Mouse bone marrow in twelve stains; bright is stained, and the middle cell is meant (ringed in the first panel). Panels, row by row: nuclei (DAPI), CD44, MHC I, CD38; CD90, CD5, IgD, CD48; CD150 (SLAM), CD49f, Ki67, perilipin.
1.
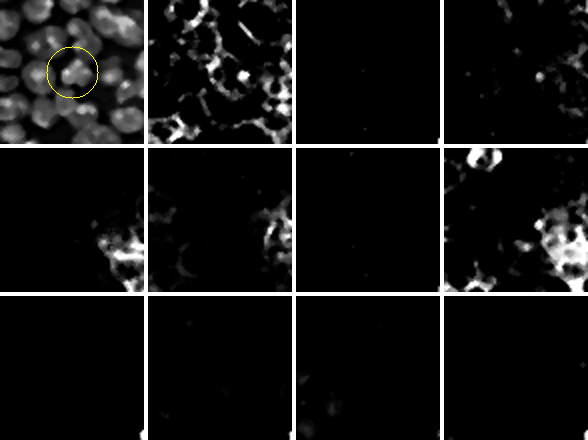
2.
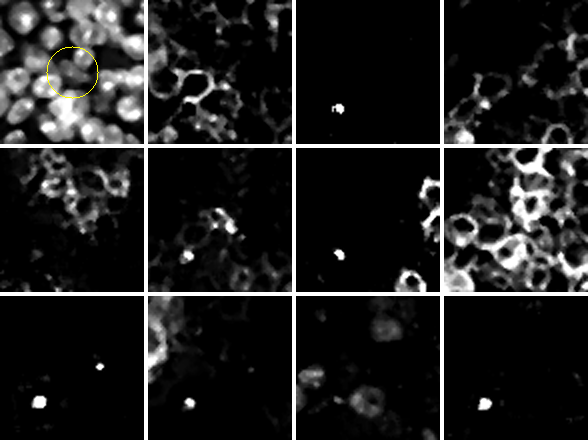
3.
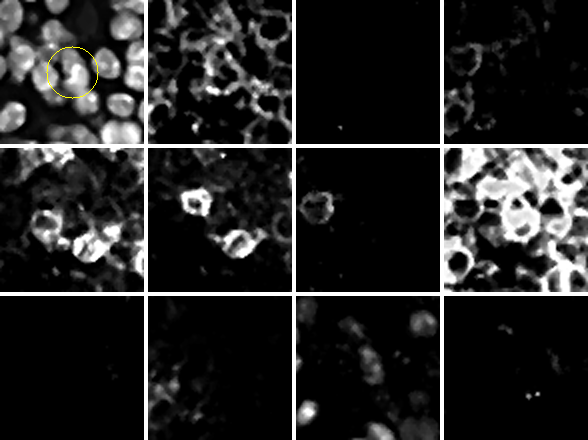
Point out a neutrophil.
That is picture 1.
